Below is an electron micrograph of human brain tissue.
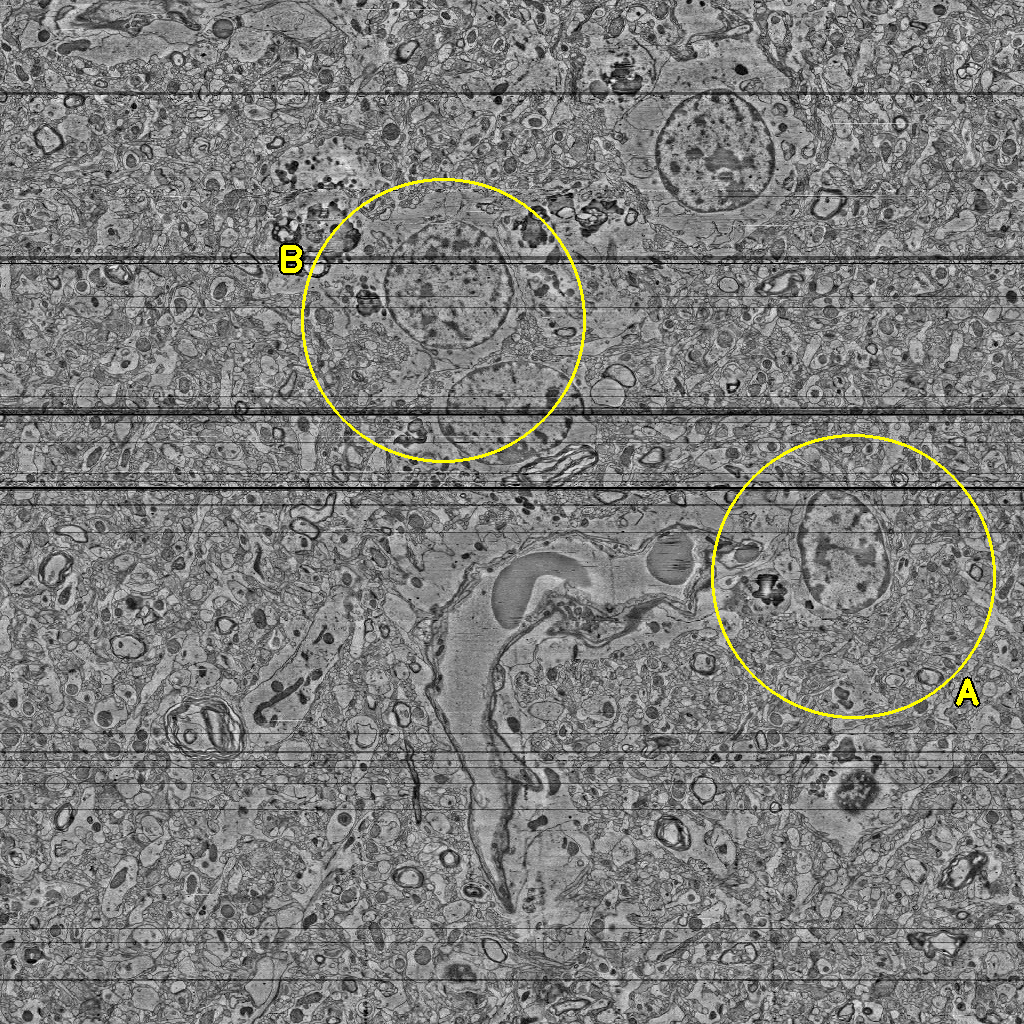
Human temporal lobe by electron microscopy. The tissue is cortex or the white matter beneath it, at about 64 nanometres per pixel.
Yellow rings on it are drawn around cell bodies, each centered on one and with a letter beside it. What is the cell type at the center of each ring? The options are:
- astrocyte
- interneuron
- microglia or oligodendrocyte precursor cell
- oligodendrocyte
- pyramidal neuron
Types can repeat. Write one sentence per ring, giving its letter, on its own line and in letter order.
At the center of ring A is a microglial cell or oligodendrocyte precursor cell.
At the center of ring B is an astrocyte.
